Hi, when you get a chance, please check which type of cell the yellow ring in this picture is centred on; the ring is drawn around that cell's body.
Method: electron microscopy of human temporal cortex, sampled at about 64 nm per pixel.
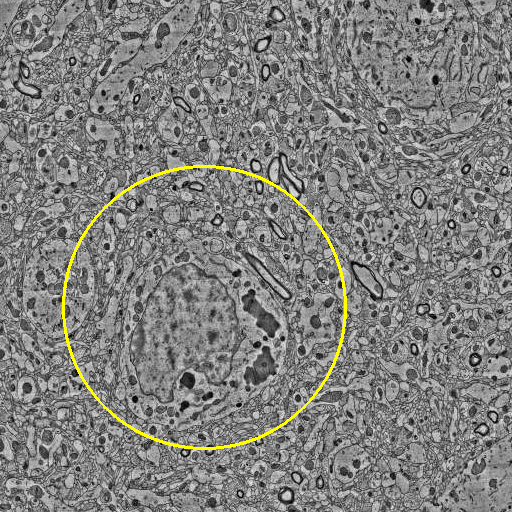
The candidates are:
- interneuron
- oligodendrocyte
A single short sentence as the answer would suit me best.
The ring is drawn around the body of an interneuron.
